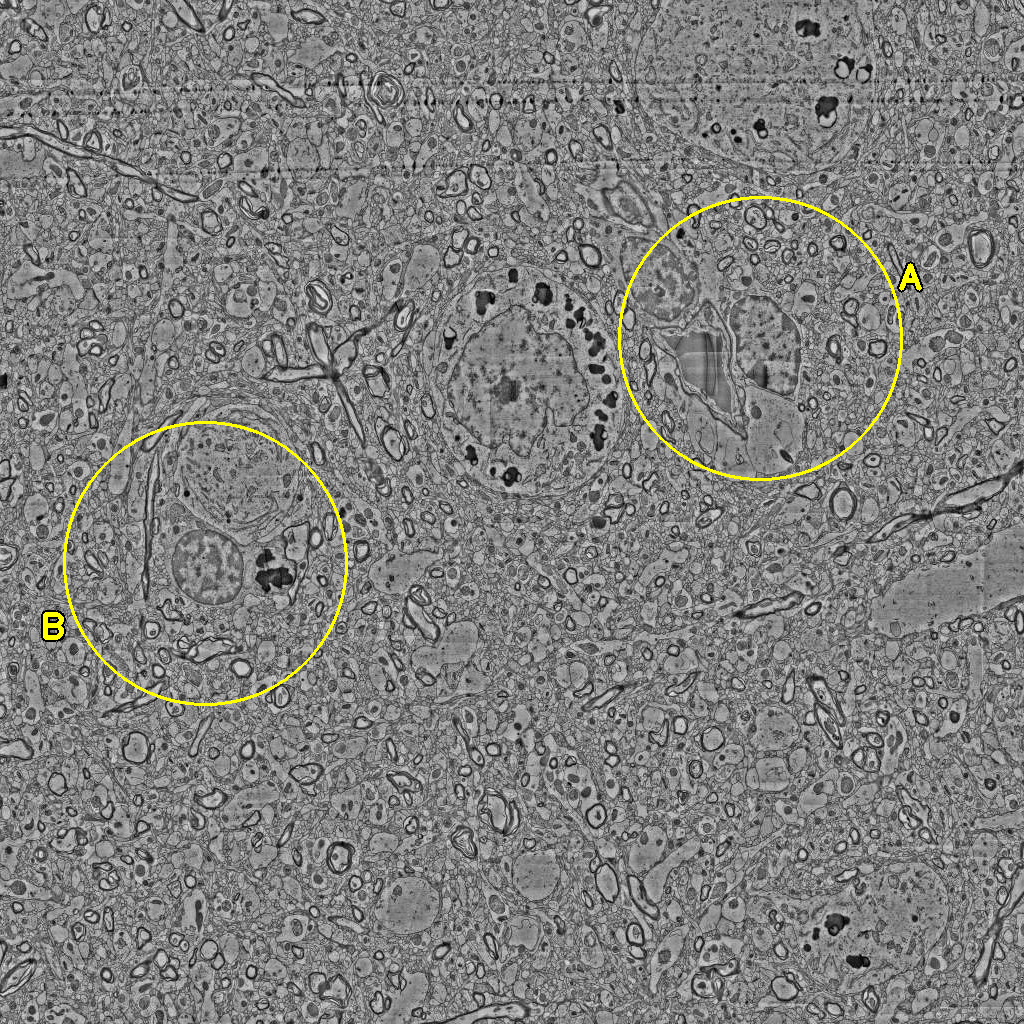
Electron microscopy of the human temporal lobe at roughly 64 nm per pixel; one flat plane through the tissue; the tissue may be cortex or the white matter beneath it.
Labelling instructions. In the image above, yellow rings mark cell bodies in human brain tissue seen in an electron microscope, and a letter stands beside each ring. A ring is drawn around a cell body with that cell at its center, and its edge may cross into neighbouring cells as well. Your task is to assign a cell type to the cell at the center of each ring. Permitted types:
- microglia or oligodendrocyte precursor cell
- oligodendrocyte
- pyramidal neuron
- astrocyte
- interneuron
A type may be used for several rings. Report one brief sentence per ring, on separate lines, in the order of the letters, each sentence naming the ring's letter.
The cell at the center of ring A is a microglial cell or oligodendrocyte precursor cell.
The cell at the center of ring B is an oligodendrocyte.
